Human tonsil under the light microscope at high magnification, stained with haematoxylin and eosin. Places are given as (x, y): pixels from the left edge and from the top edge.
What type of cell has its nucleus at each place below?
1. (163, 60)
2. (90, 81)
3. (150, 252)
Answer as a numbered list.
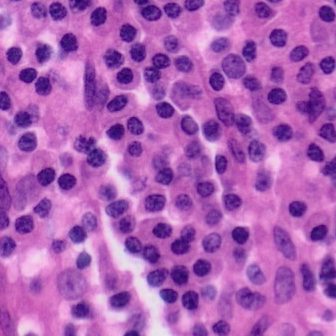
1. plasma cell
2. squamous epithelial cell
3. plasma cell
